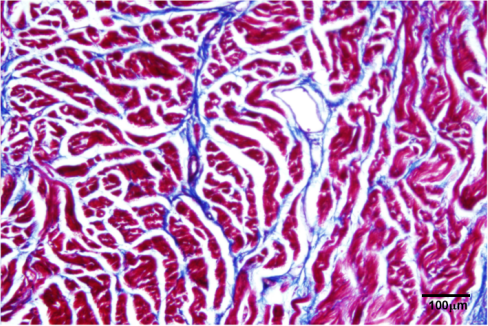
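The red myocytes form irregular, branching strands of varying width rather than neat parallel bundles, and they are separated by many white empty gaps. Near the centre a small rounded space with a thin wall is surrounded by blue connective tissue. Overall the muscle looks broken up and interlaced with fibrous tissue.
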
